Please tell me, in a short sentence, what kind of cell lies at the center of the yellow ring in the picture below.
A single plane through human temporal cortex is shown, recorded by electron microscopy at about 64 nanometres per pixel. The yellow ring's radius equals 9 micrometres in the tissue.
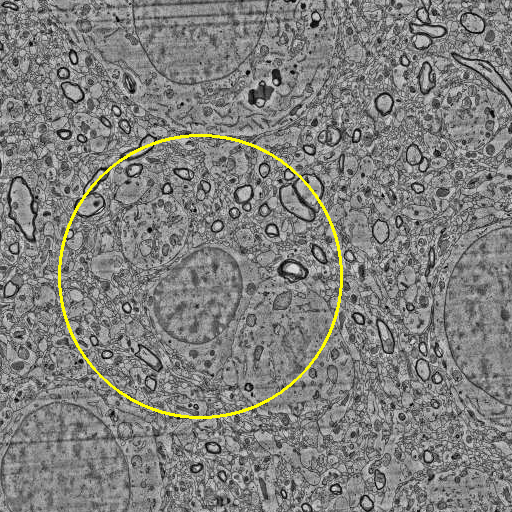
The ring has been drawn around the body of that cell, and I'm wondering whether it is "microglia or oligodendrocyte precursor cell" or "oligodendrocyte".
The cell at the center of the ring is an oligodendrocyte.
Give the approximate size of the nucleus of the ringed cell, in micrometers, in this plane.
About 6 by 5 micrometres in this plane.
